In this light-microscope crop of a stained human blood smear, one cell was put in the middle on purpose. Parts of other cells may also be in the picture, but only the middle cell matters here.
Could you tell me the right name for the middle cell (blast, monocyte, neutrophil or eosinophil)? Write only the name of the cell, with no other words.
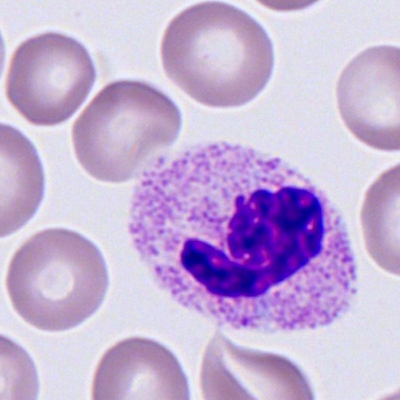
neutrophil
